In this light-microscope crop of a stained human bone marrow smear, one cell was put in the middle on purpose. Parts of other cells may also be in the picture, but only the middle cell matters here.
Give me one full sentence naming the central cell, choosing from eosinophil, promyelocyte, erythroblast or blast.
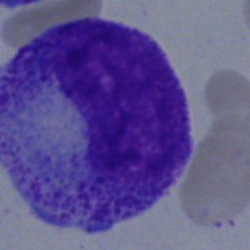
The middle position in this crop is taken by a promyelocyte.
